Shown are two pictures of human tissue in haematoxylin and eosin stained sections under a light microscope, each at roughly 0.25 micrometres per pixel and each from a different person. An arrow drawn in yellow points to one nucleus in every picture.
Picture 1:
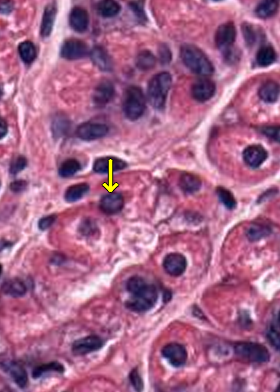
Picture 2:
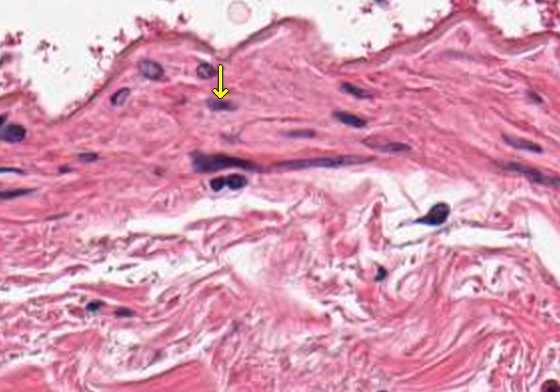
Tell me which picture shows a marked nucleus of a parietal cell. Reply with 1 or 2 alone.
1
